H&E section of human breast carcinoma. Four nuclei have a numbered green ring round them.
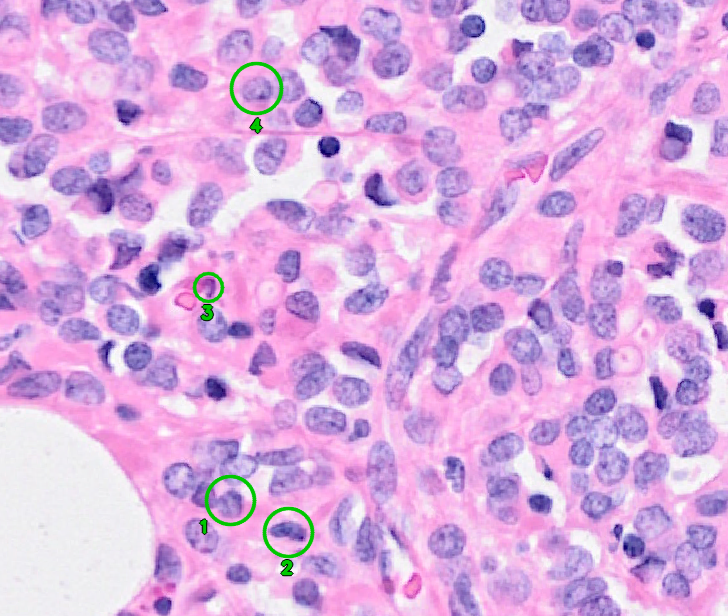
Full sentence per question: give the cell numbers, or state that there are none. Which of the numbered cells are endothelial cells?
Of all the numbered cells, only one is an endothelial cell, and that is cell 3.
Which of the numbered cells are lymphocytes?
Exactly one of the numbered cells is a lymphocyte, namely cell 2.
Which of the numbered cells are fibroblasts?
None of the cells bearing numbers are fibroblasts.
